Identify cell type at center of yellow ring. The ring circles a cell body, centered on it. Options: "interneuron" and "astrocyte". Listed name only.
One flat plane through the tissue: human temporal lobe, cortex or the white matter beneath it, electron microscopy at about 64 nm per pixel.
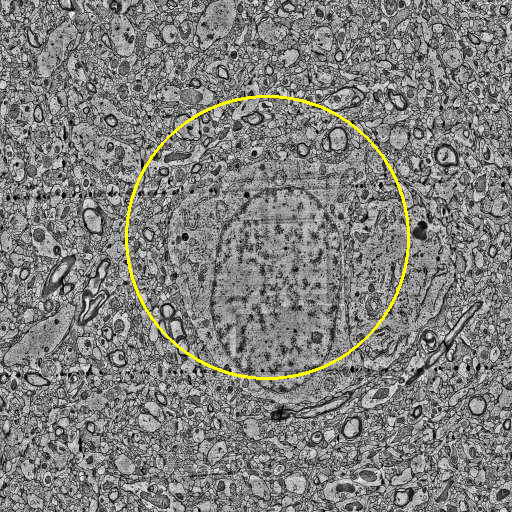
interneuron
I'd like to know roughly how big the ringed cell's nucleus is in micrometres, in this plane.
In this plane the nucleus is clearly longer than it is wide, at approximately 13 by 8 micrometres.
